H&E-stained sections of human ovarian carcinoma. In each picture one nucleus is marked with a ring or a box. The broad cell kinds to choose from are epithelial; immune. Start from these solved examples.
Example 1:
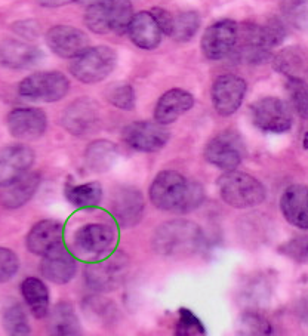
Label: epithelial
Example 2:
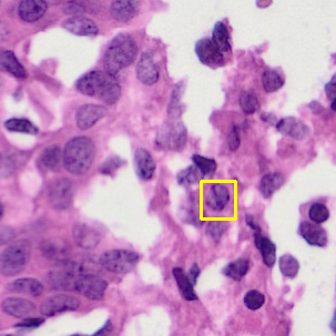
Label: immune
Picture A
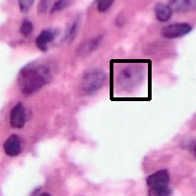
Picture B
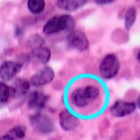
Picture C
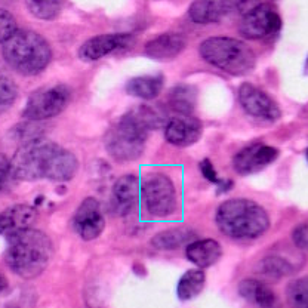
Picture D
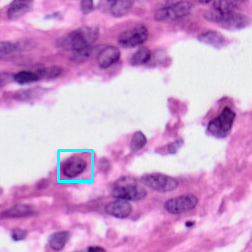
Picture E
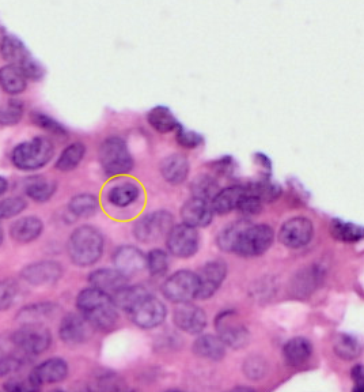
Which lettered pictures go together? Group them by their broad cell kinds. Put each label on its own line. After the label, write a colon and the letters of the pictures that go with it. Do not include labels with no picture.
epithelial: C
immune: A, B, D, E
